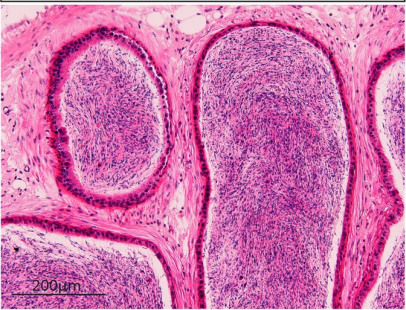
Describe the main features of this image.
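Cauda epididymis tubules with wide lumens are completely filled with densely packed sperm, appearing as a streaming mass of fine purple threads and small dark heads. The tubules are lined by a thin epithelium with dark nuclei and surrounded by pink smooth muscle and connective tissue.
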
